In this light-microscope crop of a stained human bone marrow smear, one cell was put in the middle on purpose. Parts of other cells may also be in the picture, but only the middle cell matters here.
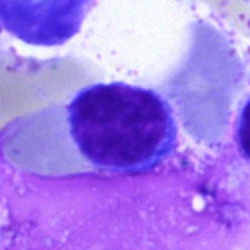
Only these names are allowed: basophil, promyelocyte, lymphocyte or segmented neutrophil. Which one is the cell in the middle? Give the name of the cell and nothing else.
lymphocyte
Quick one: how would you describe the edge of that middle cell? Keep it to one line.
Worth noting that the cell border is smooth and lacks projections.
